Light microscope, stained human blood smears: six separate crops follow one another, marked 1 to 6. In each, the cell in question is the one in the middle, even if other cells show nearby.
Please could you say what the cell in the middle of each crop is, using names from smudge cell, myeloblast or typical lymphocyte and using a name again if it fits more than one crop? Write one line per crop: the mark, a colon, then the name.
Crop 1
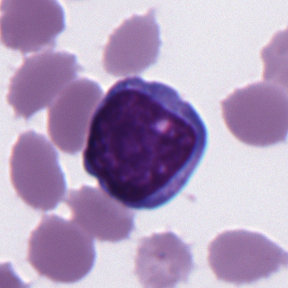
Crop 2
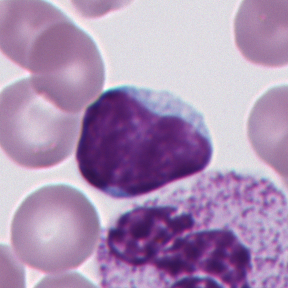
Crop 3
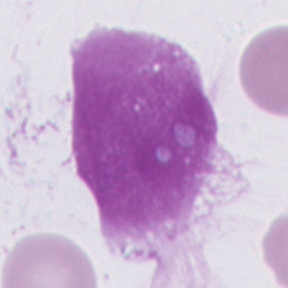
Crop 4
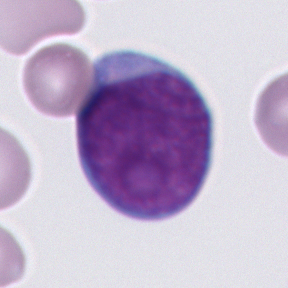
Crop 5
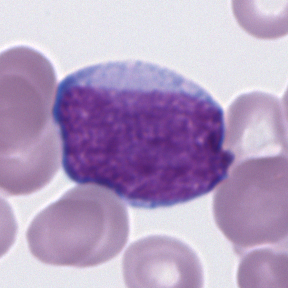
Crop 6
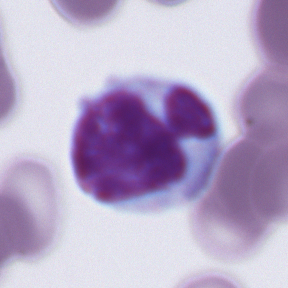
1: typical lymphocyte
2: typical lymphocyte
3: smudge cell
4: myeloblast
5: myeloblast
6: typical lymphocyte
